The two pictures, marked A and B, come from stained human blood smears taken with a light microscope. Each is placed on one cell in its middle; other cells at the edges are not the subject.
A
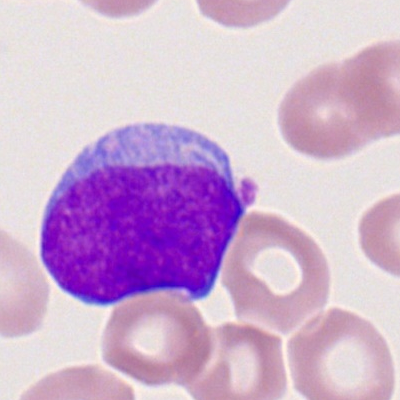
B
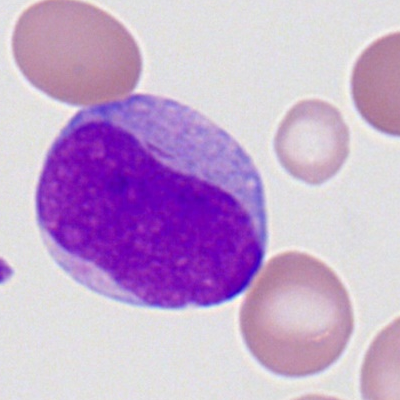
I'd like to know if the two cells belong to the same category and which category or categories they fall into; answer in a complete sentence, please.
Yes, both crops show myeloblasts at their middles.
